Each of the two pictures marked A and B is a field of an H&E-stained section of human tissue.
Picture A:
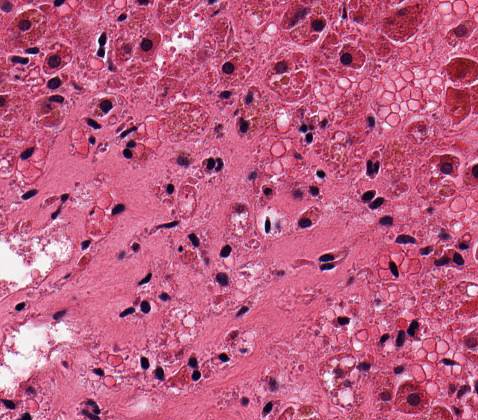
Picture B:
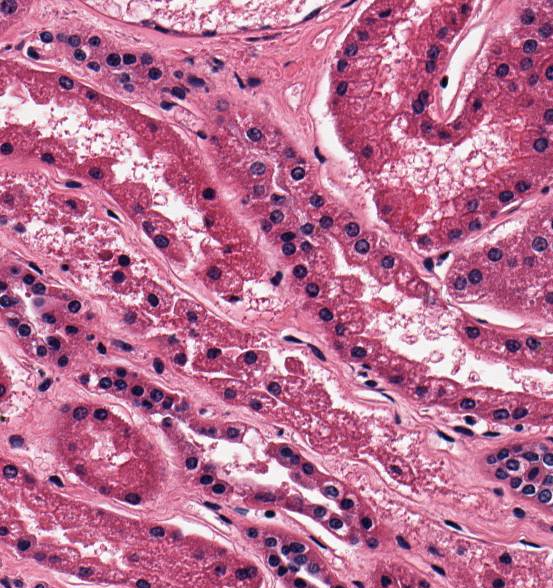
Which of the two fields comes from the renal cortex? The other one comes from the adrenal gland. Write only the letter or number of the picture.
B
